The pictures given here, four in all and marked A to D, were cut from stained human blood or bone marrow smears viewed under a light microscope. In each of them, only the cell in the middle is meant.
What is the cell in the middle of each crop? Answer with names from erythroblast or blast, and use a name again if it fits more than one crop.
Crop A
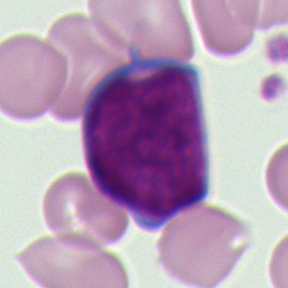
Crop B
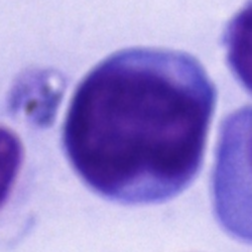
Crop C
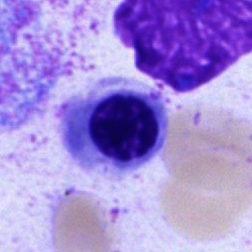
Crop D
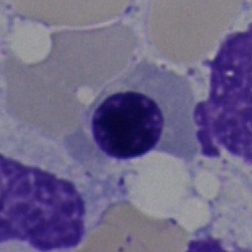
A: blast
B: blast
C: erythroblast
D: erythroblast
